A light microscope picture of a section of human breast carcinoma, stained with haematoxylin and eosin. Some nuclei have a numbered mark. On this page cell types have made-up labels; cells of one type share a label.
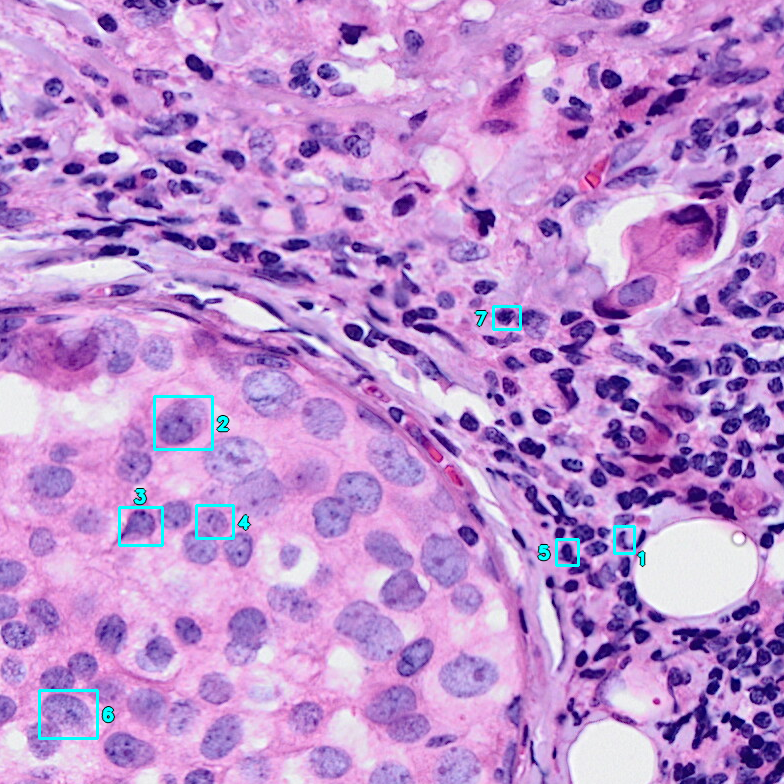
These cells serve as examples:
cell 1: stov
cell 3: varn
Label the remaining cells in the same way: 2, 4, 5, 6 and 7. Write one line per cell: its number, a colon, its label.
2: varn
4: varn
5: stov
6: varn
7: stov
